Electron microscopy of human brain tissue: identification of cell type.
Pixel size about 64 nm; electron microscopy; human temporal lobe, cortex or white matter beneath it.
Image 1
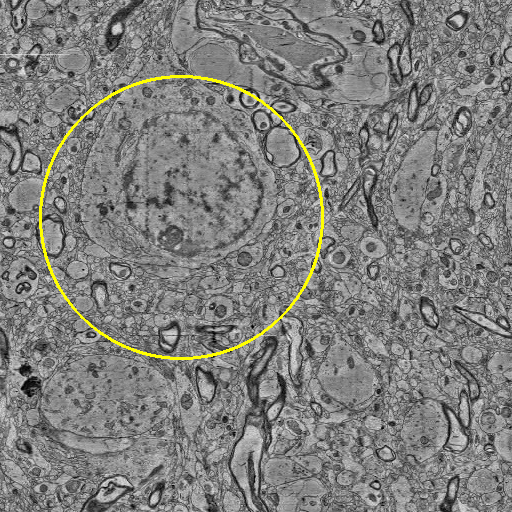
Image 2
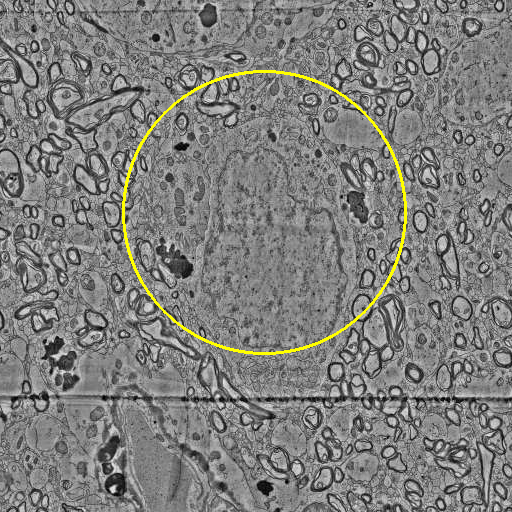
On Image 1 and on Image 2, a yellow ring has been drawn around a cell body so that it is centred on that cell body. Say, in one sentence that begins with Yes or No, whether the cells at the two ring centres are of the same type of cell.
Yes, both cells are the same type of cell.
